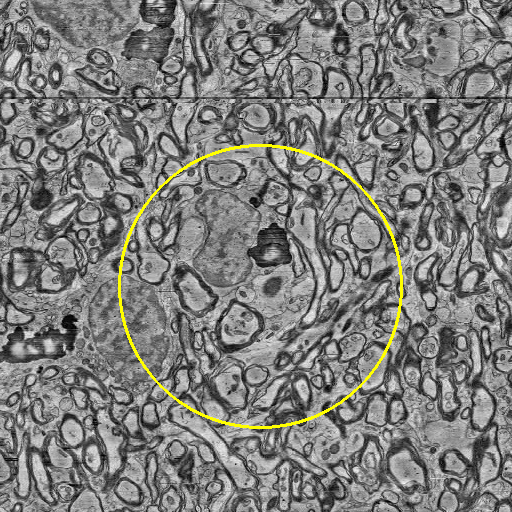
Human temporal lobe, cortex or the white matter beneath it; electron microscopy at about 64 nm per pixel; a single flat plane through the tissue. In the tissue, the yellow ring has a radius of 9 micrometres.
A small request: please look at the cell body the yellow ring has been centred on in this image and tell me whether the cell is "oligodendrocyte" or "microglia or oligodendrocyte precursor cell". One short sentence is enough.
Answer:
The cell marked by the ring is a microglial cell or oligodendrocyte precursor cell.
